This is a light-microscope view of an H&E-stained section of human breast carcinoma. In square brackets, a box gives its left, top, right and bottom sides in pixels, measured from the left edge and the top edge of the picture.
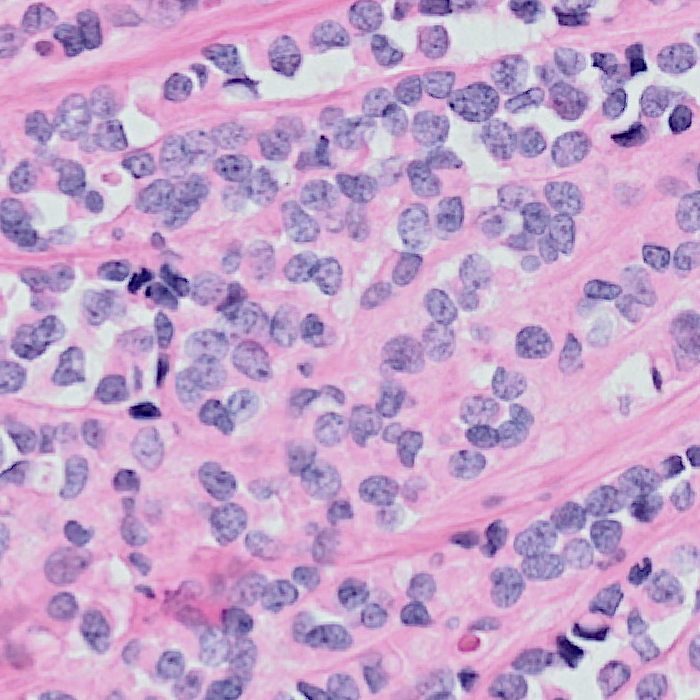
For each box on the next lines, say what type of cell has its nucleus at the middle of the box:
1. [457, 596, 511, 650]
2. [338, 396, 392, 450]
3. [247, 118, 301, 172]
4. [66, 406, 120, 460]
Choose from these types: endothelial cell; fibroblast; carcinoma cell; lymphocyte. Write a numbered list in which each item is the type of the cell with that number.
1. endothelial cell
2. carcinoma cell
3. carcinoma cell
4. carcinoma cell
